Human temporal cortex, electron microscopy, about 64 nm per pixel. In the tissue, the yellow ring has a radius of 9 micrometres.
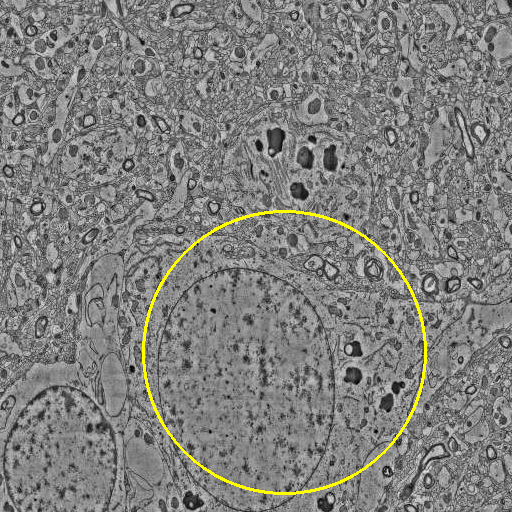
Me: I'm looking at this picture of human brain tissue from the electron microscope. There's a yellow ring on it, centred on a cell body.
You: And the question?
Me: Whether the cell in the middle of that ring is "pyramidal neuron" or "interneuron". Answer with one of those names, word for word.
pyramidal neuron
